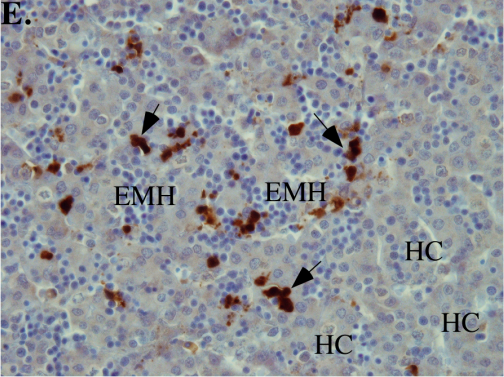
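The hepatocytes are large polygonal cells with pale pinkish-grey cytoplasm and round central nuclei. Between them lie dense islands of small round cells with dark blue nuclei and scant cytoplasm, the hematopoietic cells. Scattered within these islands are many small, compact cells stained deep brown, some in small clusters. The brown cells sit among the small round cells rather than within the hepatocyte cords.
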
